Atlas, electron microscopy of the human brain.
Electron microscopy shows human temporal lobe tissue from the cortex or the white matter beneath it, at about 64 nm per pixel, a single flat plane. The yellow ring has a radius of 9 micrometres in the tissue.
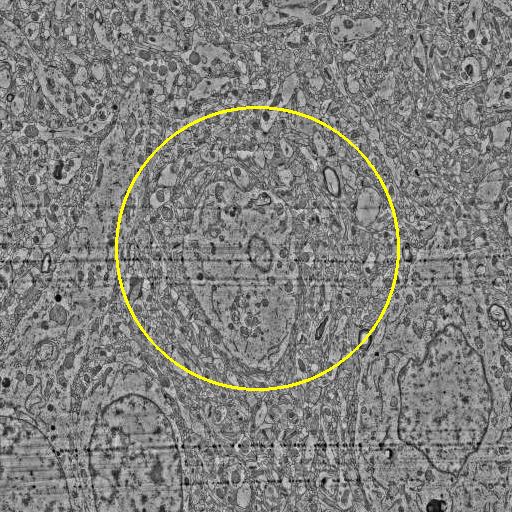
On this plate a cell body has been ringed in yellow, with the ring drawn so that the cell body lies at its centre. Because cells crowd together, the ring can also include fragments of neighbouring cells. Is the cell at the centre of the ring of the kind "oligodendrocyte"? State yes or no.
No, it is of another kind.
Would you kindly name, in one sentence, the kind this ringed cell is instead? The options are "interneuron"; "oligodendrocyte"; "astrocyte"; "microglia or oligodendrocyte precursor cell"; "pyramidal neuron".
Instead, the ring in this picture marks a pyramidal neuron.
